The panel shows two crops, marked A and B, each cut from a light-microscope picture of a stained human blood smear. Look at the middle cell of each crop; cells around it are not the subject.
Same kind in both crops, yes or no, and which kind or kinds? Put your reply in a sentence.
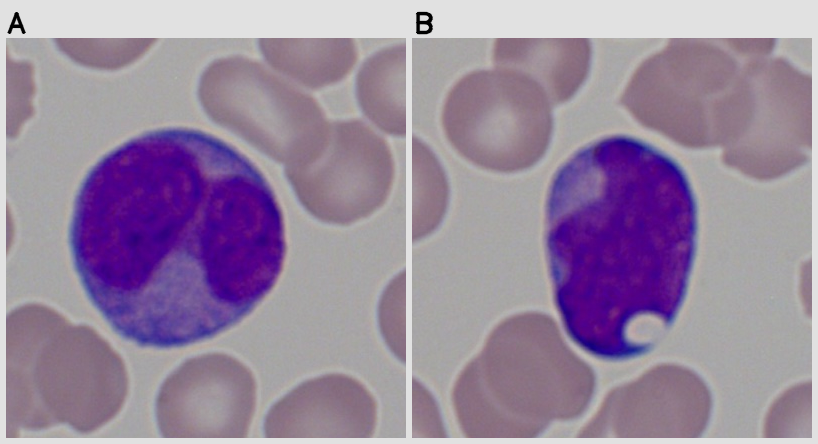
Yes, in both of the crops, the central cells are myeloblasts.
